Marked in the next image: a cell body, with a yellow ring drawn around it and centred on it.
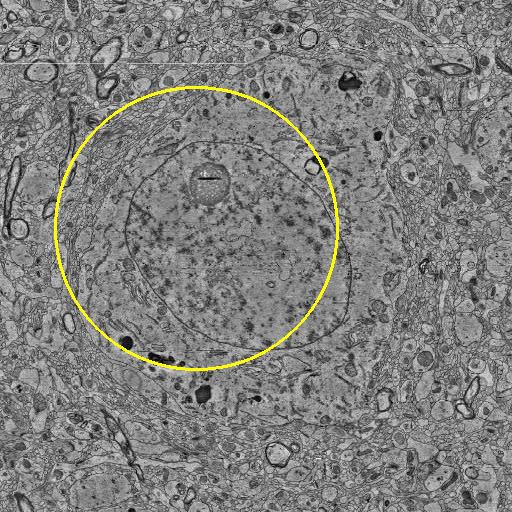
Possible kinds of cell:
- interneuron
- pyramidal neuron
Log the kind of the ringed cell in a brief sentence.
The ringed cell body is that of a pyramidal neuron.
